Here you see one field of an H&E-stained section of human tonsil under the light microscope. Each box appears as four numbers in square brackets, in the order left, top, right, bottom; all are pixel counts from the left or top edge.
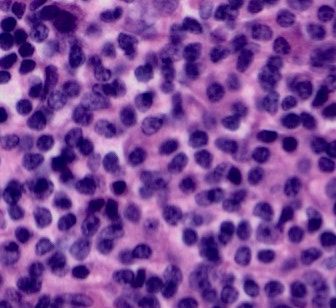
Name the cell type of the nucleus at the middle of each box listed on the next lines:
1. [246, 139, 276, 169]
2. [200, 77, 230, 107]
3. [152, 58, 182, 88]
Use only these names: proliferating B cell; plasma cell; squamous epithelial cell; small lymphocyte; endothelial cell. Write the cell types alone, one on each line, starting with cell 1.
plasma cell
plasma cell
small lymphocyte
